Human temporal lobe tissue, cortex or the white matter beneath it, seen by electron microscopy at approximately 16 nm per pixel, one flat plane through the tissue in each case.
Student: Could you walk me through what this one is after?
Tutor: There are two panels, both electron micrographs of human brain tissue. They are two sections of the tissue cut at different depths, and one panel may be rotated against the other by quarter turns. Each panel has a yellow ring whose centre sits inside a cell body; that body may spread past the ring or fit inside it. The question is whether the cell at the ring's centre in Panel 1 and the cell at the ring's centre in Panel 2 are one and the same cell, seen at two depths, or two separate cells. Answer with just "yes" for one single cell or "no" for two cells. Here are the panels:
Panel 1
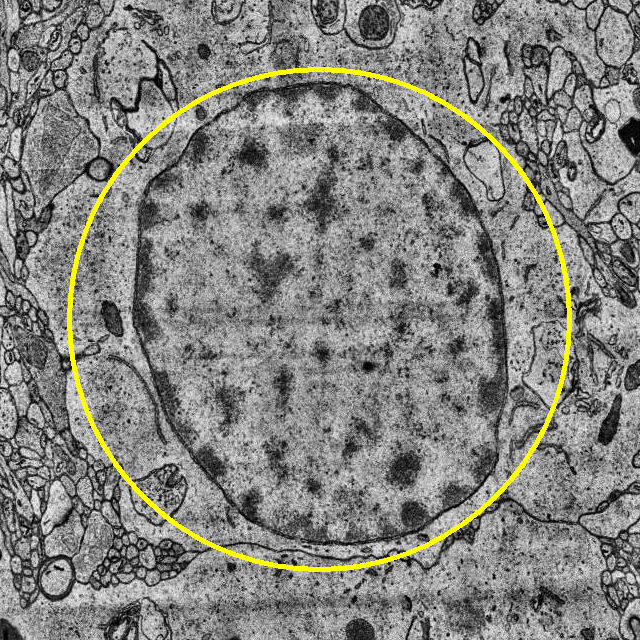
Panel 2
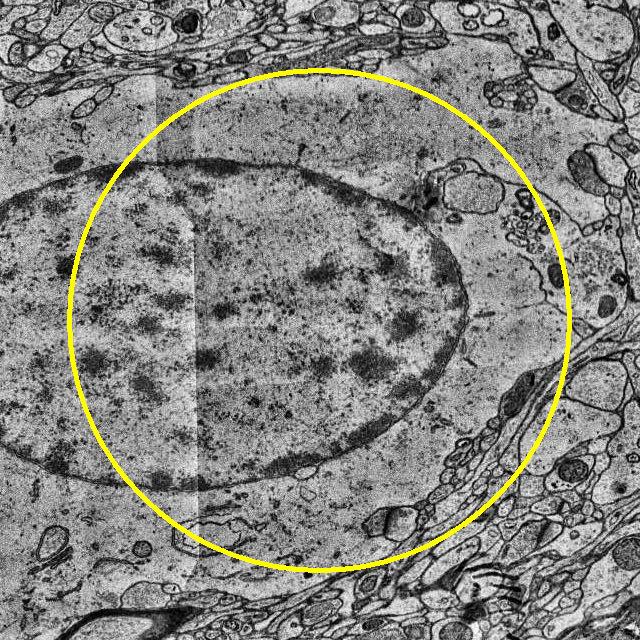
no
